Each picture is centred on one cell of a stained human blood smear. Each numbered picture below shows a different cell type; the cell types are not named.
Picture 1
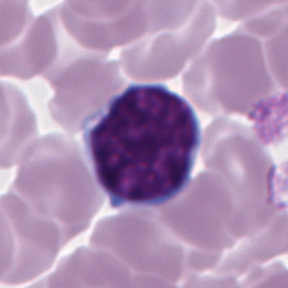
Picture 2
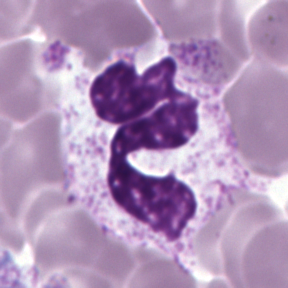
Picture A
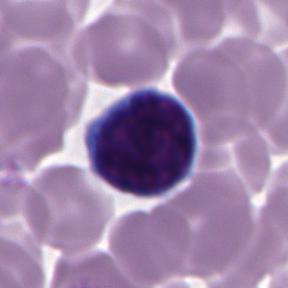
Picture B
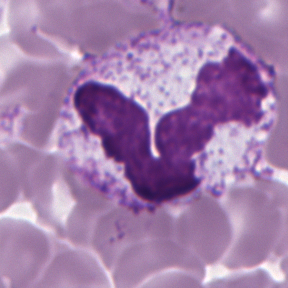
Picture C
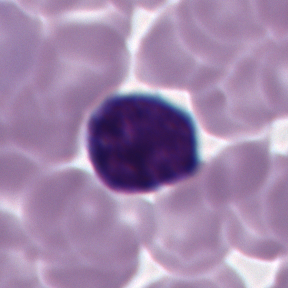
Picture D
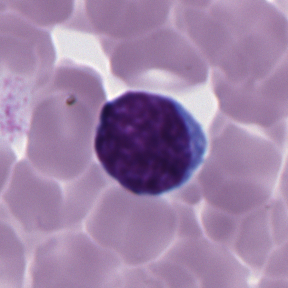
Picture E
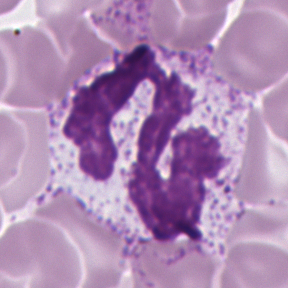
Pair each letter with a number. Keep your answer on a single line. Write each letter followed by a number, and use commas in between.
A 1, B 2, C 1, D 1, E 2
